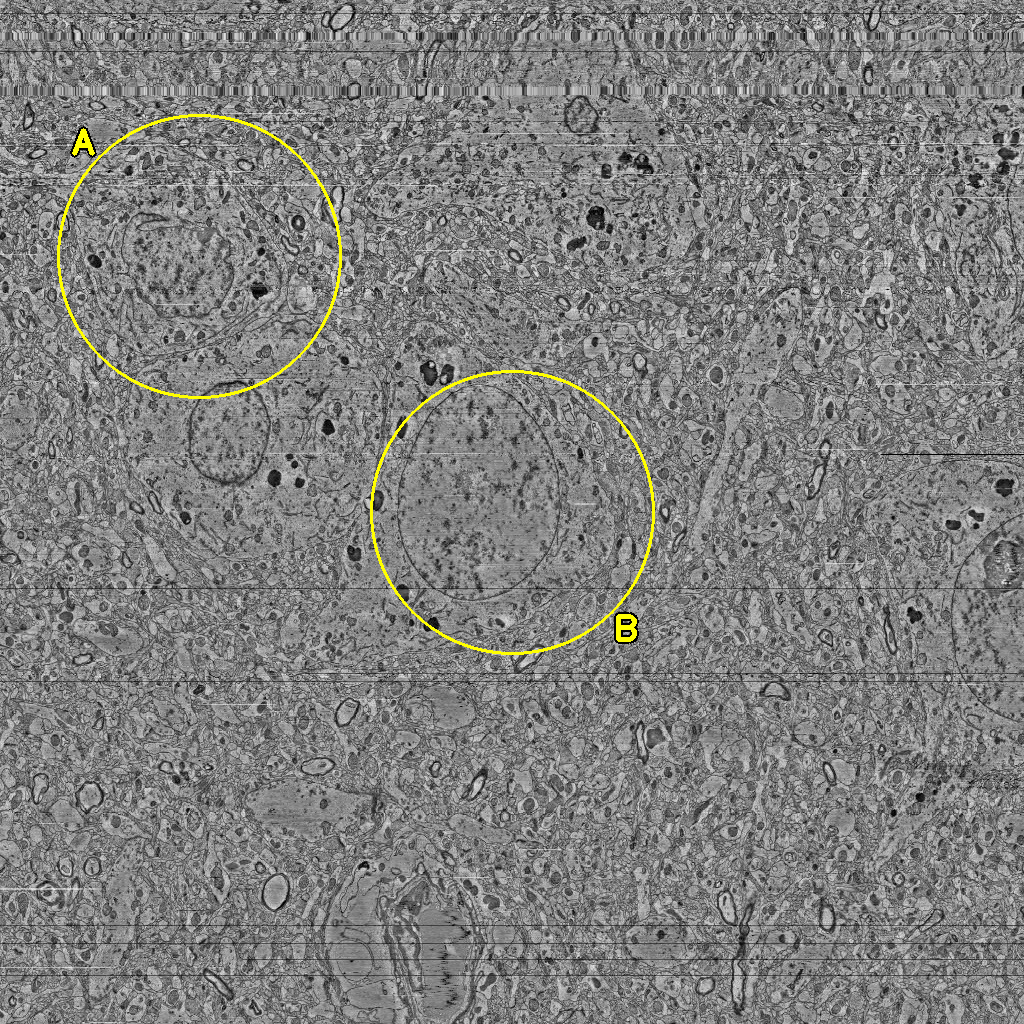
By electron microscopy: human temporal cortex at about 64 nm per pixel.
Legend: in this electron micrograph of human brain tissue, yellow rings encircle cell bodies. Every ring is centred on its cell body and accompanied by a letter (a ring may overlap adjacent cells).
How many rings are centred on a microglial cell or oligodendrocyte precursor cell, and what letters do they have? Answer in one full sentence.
Zero is the count here, since none of the rings sits centred on a microglial cell or oligodendrocyte precursor cell.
